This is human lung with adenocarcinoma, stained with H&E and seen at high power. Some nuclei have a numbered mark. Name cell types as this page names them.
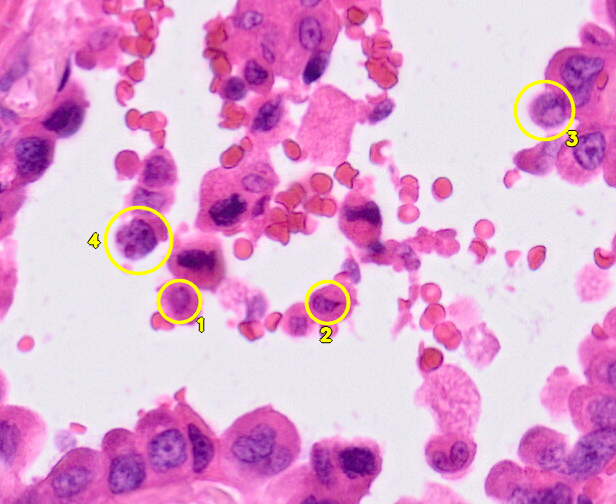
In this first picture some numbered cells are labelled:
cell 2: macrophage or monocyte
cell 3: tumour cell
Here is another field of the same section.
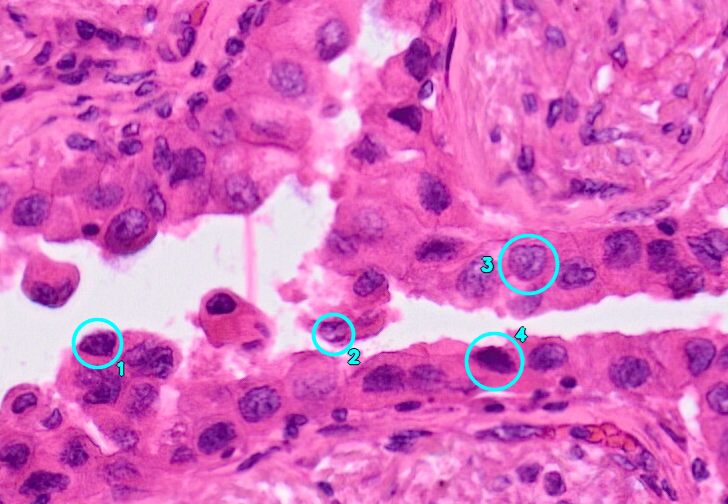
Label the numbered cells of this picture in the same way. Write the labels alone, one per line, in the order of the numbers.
tumour cell
macrophage or monocyte
tumour cell
tumour cell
